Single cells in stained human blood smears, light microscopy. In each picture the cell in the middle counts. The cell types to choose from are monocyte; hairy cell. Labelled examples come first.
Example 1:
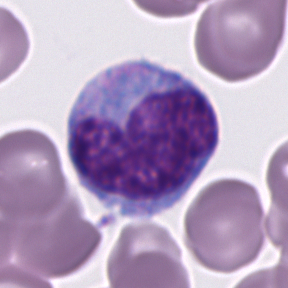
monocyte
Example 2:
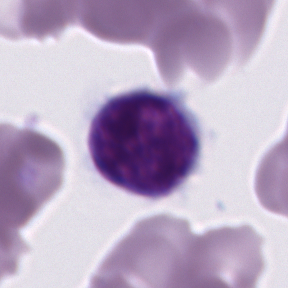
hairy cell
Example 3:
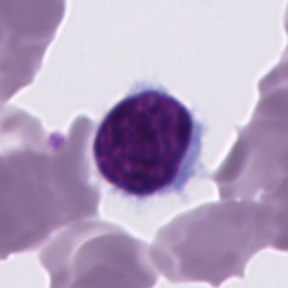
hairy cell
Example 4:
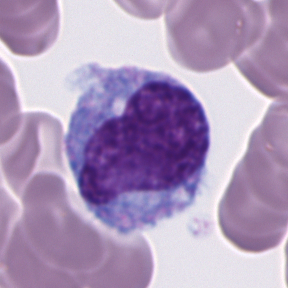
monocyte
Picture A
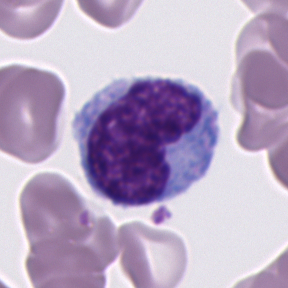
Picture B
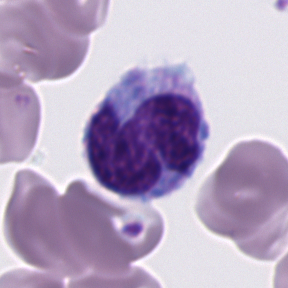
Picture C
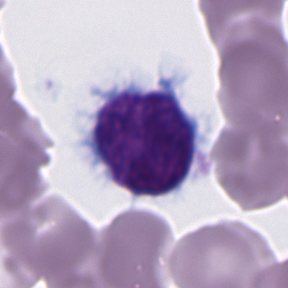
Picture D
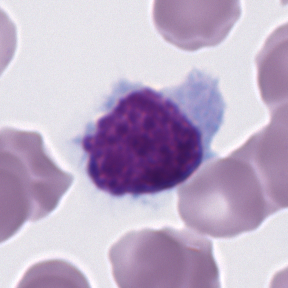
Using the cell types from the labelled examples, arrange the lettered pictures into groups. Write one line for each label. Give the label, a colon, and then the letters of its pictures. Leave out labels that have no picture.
monocyte: A, B
hairy cell: C, D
